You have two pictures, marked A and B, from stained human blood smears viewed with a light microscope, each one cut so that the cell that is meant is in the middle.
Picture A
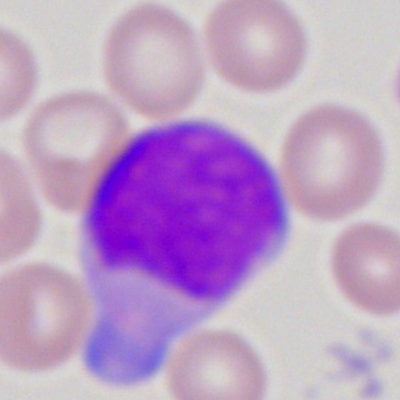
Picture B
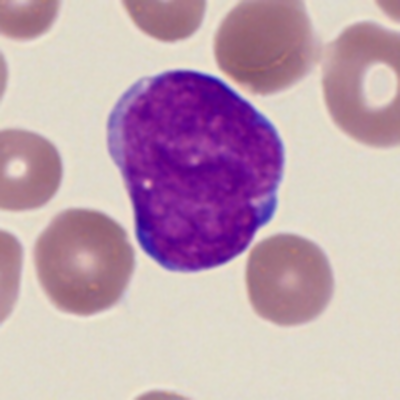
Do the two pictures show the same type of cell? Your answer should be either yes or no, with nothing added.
yes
